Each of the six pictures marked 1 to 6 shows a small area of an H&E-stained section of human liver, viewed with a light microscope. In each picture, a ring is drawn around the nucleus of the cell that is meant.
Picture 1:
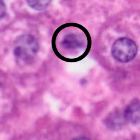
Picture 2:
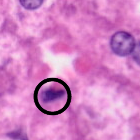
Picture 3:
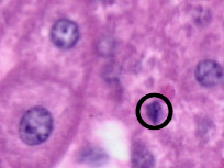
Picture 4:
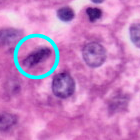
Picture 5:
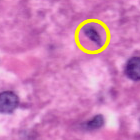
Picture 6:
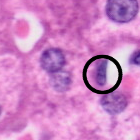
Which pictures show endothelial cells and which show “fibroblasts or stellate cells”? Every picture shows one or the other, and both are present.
1: endothelial cell
2: fibroblast or stellate cell
3: fibroblast or stellate cell
4: fibroblast or stellate cell
5: endothelial cell
6: endothelial cell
